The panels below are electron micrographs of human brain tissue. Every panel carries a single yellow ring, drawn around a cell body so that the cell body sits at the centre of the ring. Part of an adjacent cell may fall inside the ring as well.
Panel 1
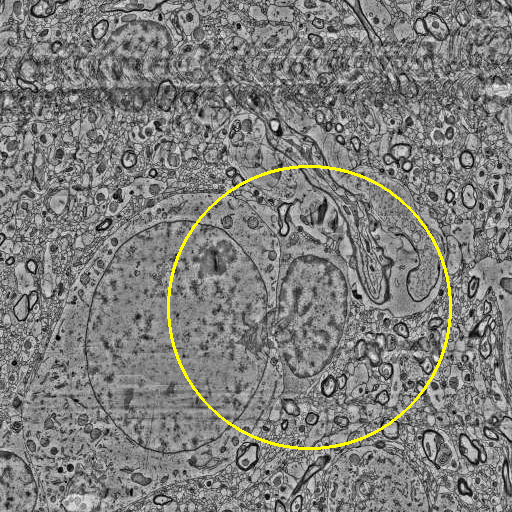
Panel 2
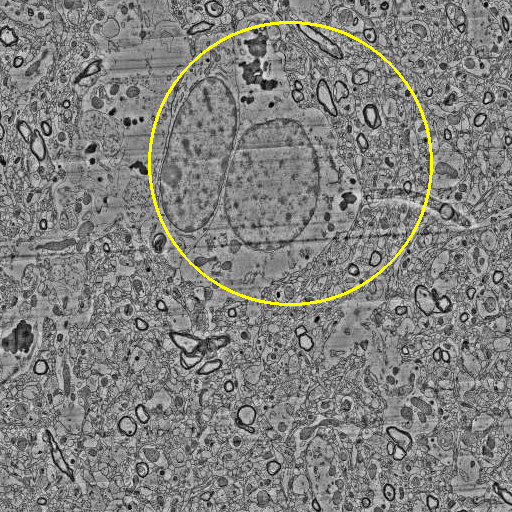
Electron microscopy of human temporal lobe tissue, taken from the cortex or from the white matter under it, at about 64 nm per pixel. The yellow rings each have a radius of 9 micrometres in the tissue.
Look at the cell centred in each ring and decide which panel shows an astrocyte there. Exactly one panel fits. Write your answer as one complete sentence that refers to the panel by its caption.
Panel 2 has it at the centre of its ring.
